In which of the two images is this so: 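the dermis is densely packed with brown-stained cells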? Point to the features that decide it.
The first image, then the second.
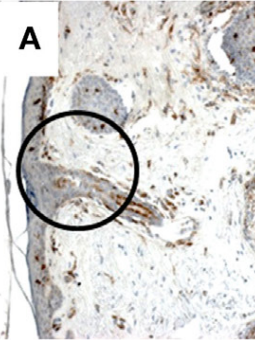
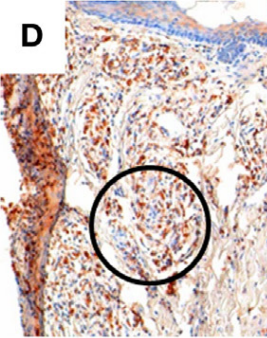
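The second image. First image: the dermis is mostly pale with scattered brown cells. Second image: the dermis is crowded with brown-stained cells in dense sheets.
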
